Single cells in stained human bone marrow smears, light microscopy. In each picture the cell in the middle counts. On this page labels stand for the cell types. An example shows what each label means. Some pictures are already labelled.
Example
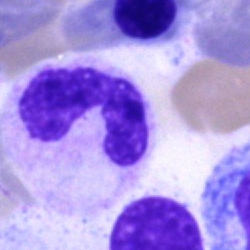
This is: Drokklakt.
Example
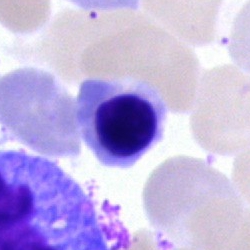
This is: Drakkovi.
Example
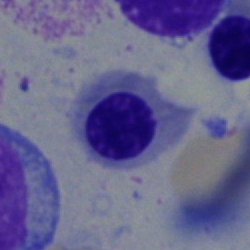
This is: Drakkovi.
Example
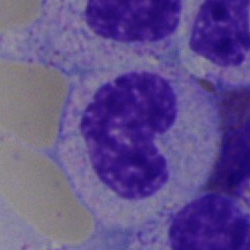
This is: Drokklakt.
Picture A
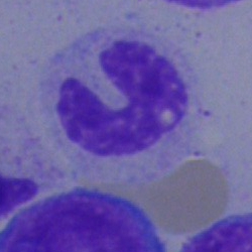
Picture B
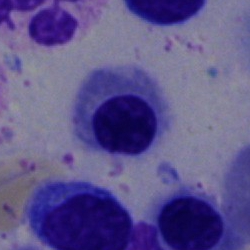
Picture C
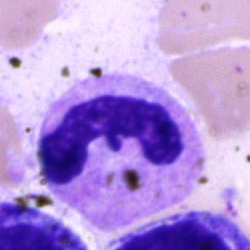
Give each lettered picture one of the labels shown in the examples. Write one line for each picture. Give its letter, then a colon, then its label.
A: Drokklakt.
B: Drakkovi.
C: Drokklakt.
